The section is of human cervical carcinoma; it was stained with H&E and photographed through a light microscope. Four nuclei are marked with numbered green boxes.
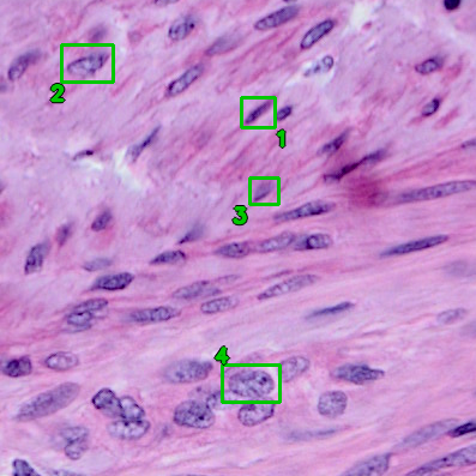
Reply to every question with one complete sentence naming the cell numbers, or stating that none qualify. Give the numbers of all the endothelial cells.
The nucleus labelled 4 alone belongs to an endothelial cell; the other marked nuclei do not.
